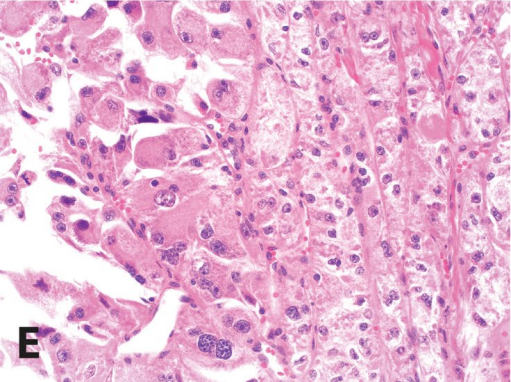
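Tumour cells with abundant pink, partly granular cytoplasm arranged in nests and cords between thin septa. On the left the cells are large and markedly variable in size, with plump pink cytoplasm and enlarged, sometimes multiple nuclei with visible nucleoli.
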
